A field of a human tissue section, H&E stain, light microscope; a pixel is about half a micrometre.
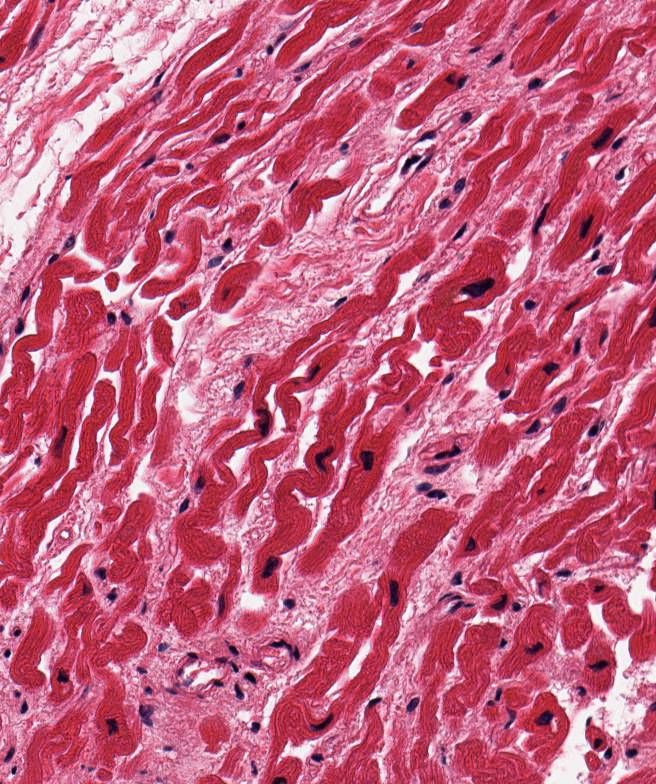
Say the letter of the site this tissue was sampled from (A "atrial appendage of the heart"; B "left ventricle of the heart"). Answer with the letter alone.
A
